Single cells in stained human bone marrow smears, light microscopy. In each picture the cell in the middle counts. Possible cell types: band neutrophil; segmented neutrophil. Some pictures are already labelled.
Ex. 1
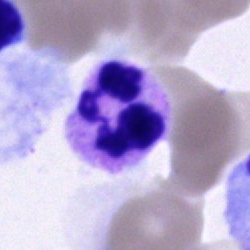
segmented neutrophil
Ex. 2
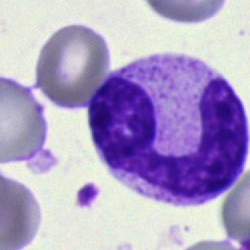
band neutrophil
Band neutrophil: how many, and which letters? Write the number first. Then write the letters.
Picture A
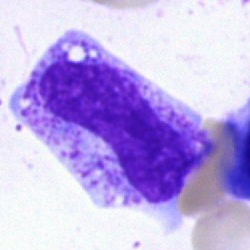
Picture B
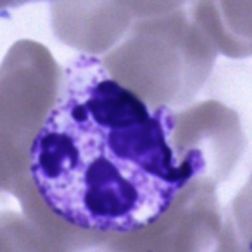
Count: 1 (A)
